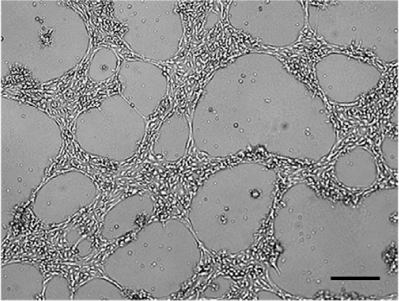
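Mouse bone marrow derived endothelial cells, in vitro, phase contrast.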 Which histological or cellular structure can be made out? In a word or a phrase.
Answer: Tube formation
